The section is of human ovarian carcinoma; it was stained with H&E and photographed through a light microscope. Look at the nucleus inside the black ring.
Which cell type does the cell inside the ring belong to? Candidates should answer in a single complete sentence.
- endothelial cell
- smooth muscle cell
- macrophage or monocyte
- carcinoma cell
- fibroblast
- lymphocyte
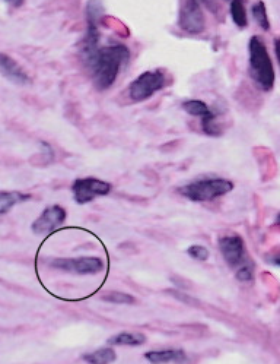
The expected answer is simply that the cell inside the ring is a fibroblast.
